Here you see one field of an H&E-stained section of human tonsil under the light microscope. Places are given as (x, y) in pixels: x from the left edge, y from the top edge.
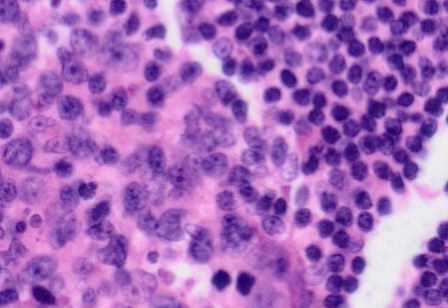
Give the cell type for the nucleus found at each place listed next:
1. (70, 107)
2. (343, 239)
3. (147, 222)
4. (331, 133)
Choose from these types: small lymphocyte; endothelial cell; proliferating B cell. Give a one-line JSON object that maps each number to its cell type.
{"1": "proliferating B cell", "2": "small lymphocyte", "3": "proliferating B cell", "4": "small lymphocyte"}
